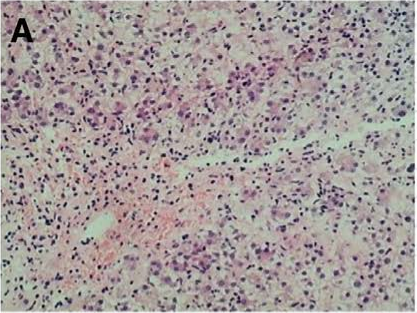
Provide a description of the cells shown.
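Liver parenchyma with damaged hepatocytes, bleeding and scattered inflammatory cells. Hepatocytes have pale pink cytoplasm and round nuclei, but their plate arrangement is largely lost, with loose, disordered cells across the field. Numerous small dark round nuclei of inflammatory cells are scattered between them. In the lower left, near an open vessel lumen, pink-red extravasated blood spreads into the tissue. A thin cleft-like space crosses the center of the field.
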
